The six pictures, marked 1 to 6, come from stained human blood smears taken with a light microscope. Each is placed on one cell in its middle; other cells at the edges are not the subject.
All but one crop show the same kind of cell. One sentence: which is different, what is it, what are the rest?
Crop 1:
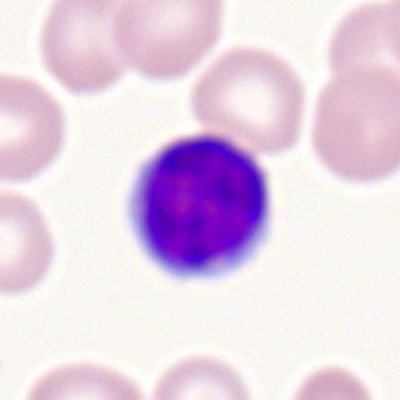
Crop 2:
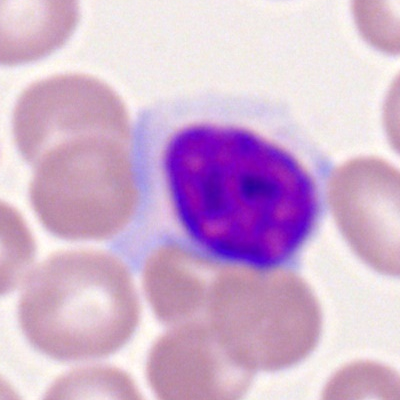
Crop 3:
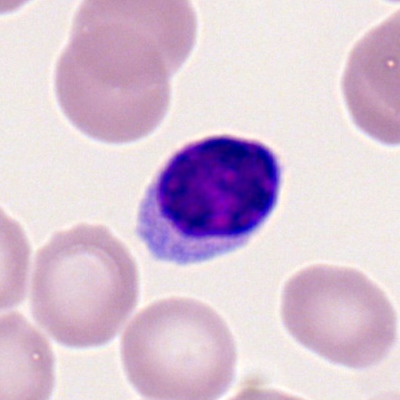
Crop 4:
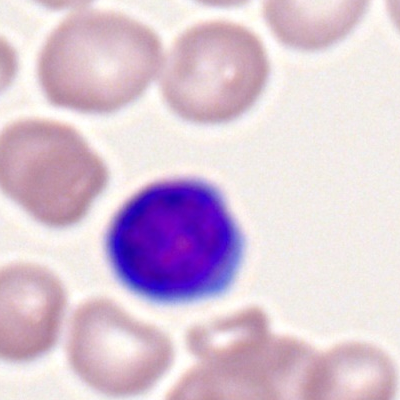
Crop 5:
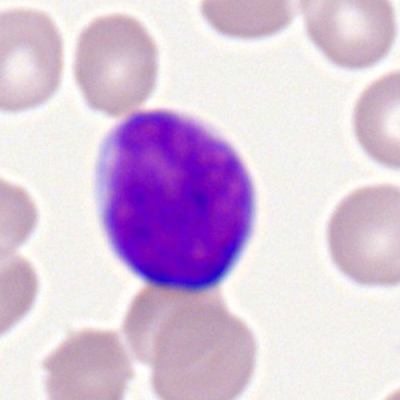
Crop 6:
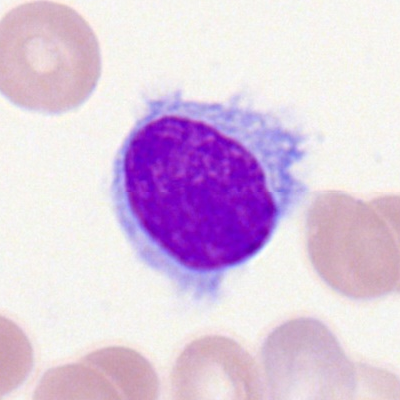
Crop 5 is singled out as a myeloblast, and all of the other crops show lymphocytes.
